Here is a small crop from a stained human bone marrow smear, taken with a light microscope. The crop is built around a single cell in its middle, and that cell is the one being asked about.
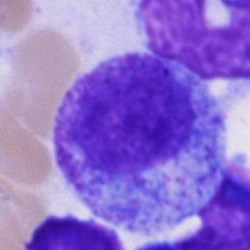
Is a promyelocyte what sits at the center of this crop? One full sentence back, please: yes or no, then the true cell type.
Yes, the cell in the central position is a promyelocyte.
